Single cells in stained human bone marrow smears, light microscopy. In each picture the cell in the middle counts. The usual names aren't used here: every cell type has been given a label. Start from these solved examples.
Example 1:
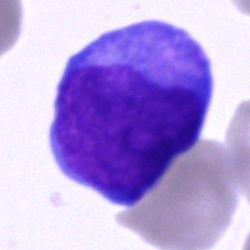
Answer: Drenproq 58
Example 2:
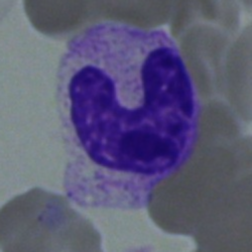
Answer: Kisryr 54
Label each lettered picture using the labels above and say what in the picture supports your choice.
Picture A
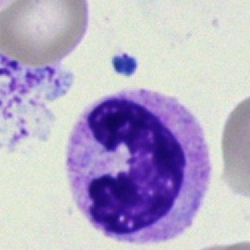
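Answer: Kisryr 54. The nucleus is deeply indented into a C shape that opens toward the left.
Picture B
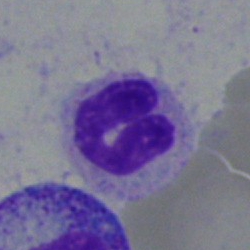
Answer: Kisryr 54. The nucleus is bent into a curved C shape whose opening faces right.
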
